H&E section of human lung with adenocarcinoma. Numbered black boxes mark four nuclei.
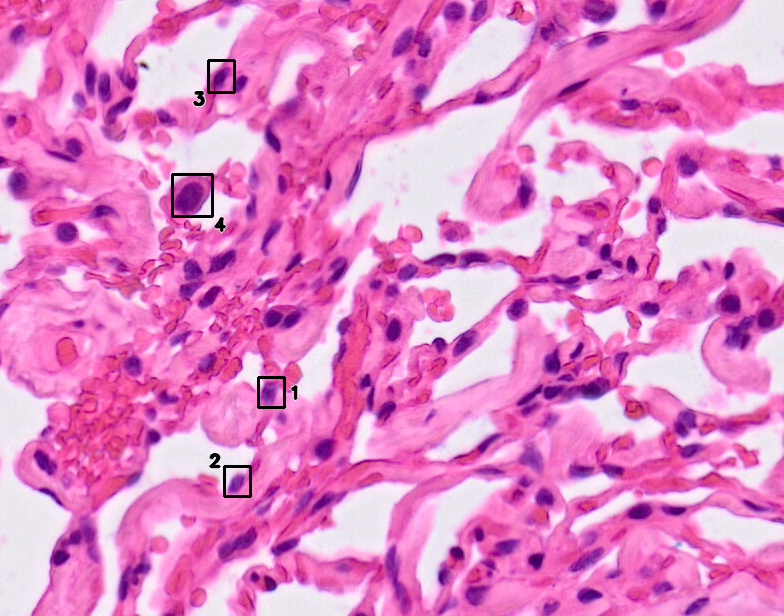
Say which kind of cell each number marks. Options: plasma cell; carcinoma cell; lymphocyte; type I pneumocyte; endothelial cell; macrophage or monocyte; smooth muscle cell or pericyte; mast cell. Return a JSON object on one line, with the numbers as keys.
{"1": "type I pneumocyte", "2": "type I pneumocyte", "3": "endothelial cell", "4": "macrophage or monocyte"}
